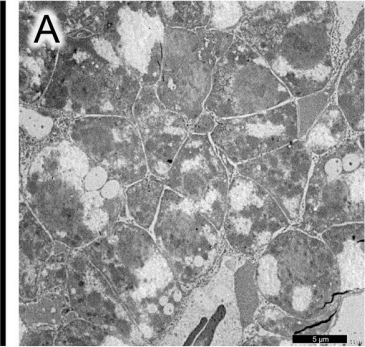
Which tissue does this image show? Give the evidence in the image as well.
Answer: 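Liver. Polygonal cells packed side by side with thin borders. Cytoplasm holds pale rounded droplets and patchy dark areas.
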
